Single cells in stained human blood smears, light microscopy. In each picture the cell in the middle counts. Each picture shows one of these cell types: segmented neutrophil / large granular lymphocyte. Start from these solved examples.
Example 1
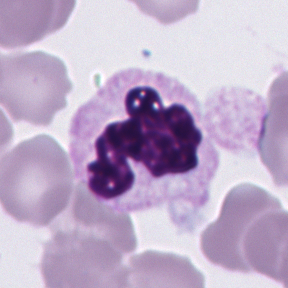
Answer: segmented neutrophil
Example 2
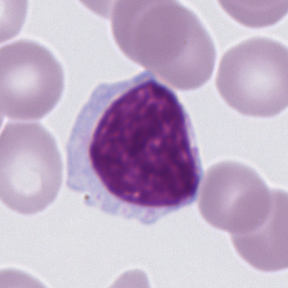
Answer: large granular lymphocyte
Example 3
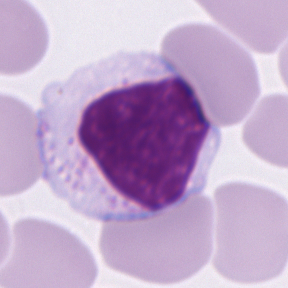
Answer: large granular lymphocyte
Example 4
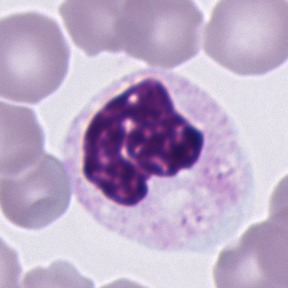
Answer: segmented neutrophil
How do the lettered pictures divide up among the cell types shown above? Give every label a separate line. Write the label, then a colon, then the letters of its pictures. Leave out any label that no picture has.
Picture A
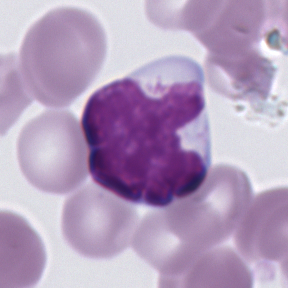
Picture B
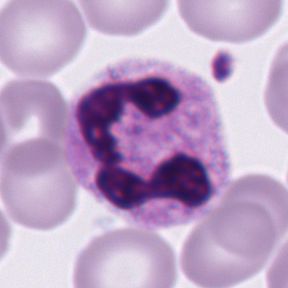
segmented neutrophil: B
large granular lymphocyte: A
